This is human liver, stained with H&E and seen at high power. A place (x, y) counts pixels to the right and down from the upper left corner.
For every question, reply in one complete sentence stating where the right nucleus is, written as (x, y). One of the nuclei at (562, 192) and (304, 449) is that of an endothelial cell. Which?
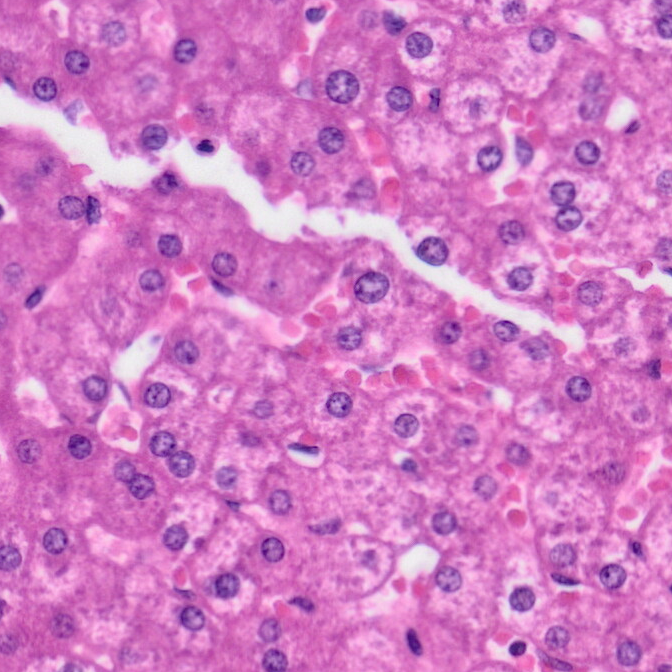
Answering which nucleus it is: the one at (304, 449), belonging to an endothelial cell.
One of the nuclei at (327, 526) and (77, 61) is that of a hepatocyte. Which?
The nucleus whose position is (77, 61) belongs to a hepatocyte.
